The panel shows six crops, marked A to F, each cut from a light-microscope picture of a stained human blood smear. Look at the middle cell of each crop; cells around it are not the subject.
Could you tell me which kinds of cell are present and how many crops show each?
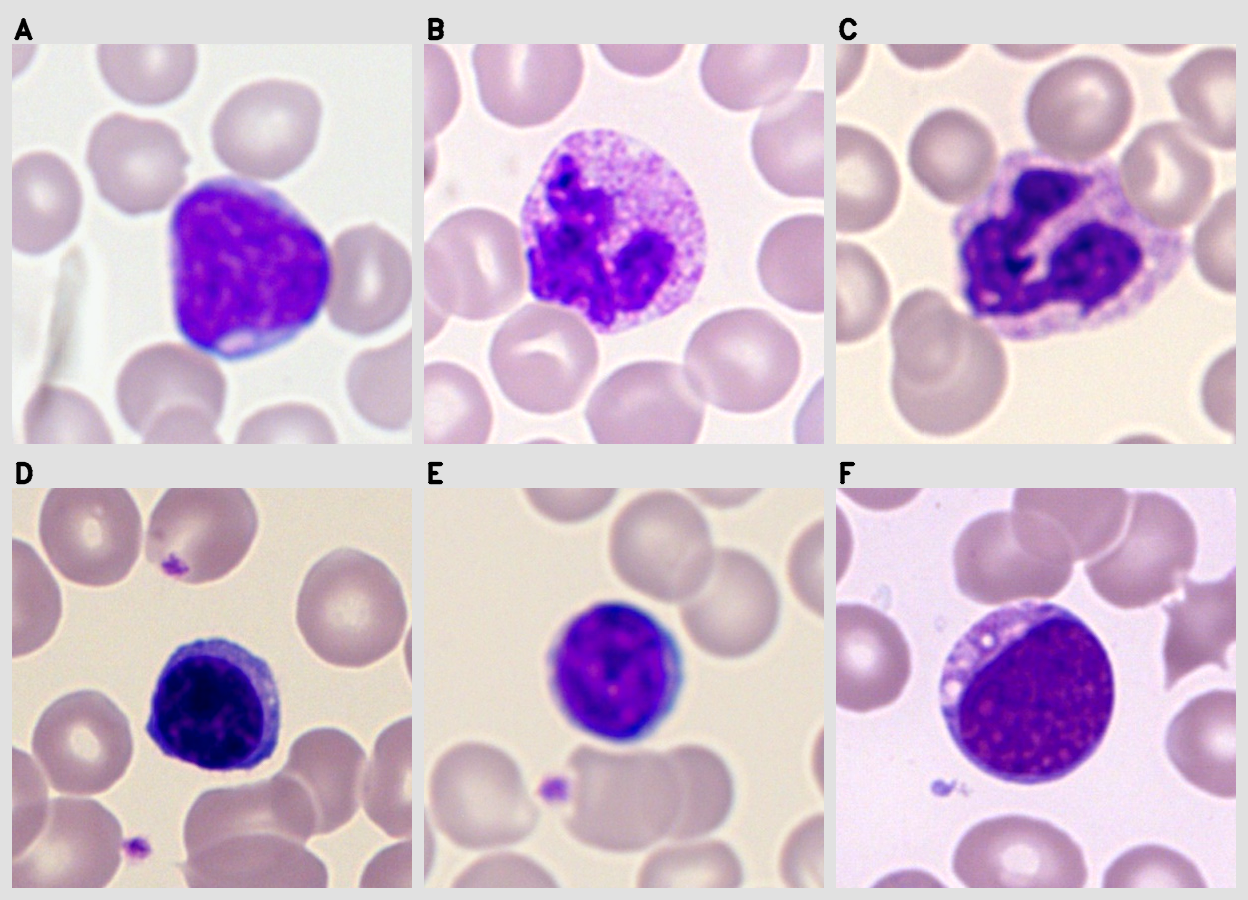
myeloblast: 2
basophil: 2
lymphocyte: 2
